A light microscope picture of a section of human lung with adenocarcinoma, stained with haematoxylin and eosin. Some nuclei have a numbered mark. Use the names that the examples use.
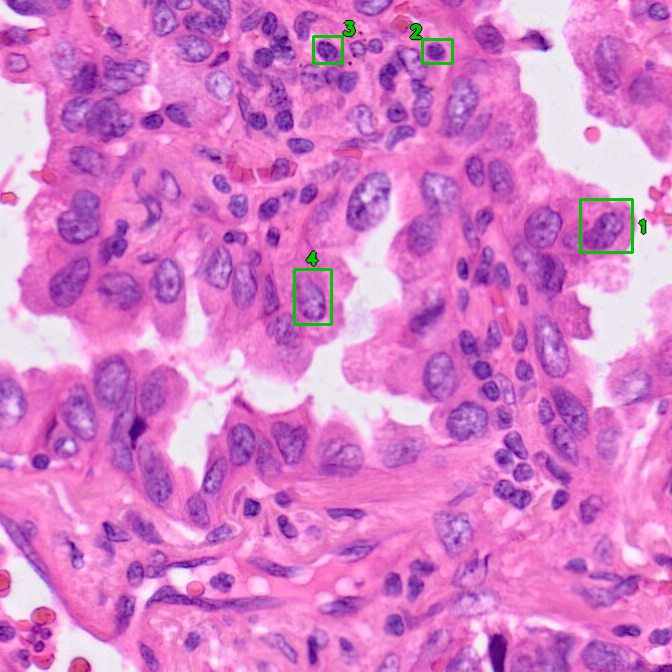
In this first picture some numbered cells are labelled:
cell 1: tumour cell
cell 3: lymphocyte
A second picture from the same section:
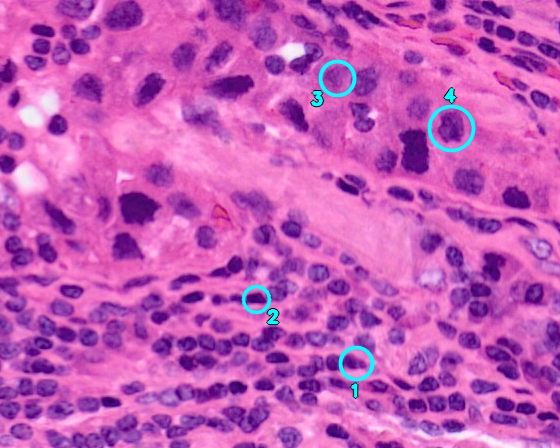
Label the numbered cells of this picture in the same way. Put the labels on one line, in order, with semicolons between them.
lymphocyte; lymphocyte; tumour cell; tumour cell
